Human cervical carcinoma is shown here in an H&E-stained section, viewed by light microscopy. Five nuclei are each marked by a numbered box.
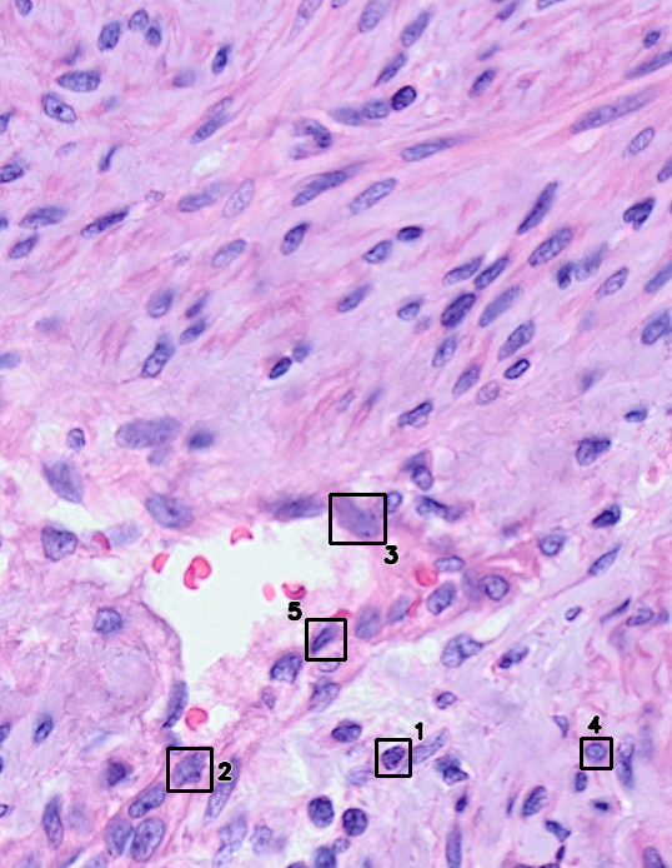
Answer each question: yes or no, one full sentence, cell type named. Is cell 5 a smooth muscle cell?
No, for cell 5, the correct identification is an endothelial cell instead of a smooth muscle cell.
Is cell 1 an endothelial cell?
No, the cell given number 1 is a lymphocyte, as opposed to an endothelial cell.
